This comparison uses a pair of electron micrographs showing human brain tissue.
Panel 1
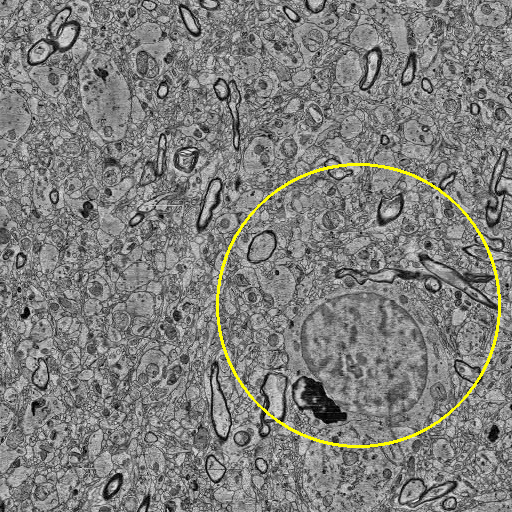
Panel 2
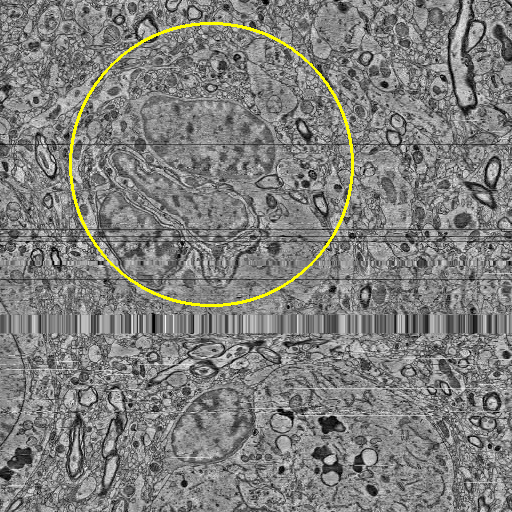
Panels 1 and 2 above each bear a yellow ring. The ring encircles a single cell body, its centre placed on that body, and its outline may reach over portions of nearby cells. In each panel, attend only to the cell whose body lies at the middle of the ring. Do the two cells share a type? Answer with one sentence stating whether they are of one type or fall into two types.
In Panel 1 and Panel 2, the cells at the centres of the rings are of one type.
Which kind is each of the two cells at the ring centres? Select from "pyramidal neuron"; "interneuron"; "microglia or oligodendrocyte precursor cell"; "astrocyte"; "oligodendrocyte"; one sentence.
The first and the second cell are each an oligodendrocyte.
